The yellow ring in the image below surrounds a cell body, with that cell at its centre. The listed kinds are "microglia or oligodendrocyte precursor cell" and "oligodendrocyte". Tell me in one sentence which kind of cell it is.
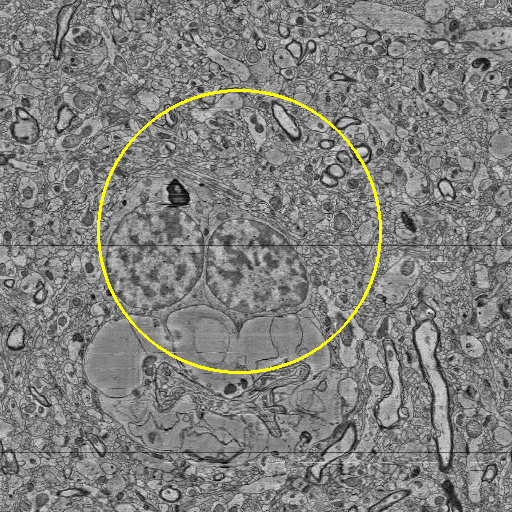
The centre of the ring holds an oligodendrocyte.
